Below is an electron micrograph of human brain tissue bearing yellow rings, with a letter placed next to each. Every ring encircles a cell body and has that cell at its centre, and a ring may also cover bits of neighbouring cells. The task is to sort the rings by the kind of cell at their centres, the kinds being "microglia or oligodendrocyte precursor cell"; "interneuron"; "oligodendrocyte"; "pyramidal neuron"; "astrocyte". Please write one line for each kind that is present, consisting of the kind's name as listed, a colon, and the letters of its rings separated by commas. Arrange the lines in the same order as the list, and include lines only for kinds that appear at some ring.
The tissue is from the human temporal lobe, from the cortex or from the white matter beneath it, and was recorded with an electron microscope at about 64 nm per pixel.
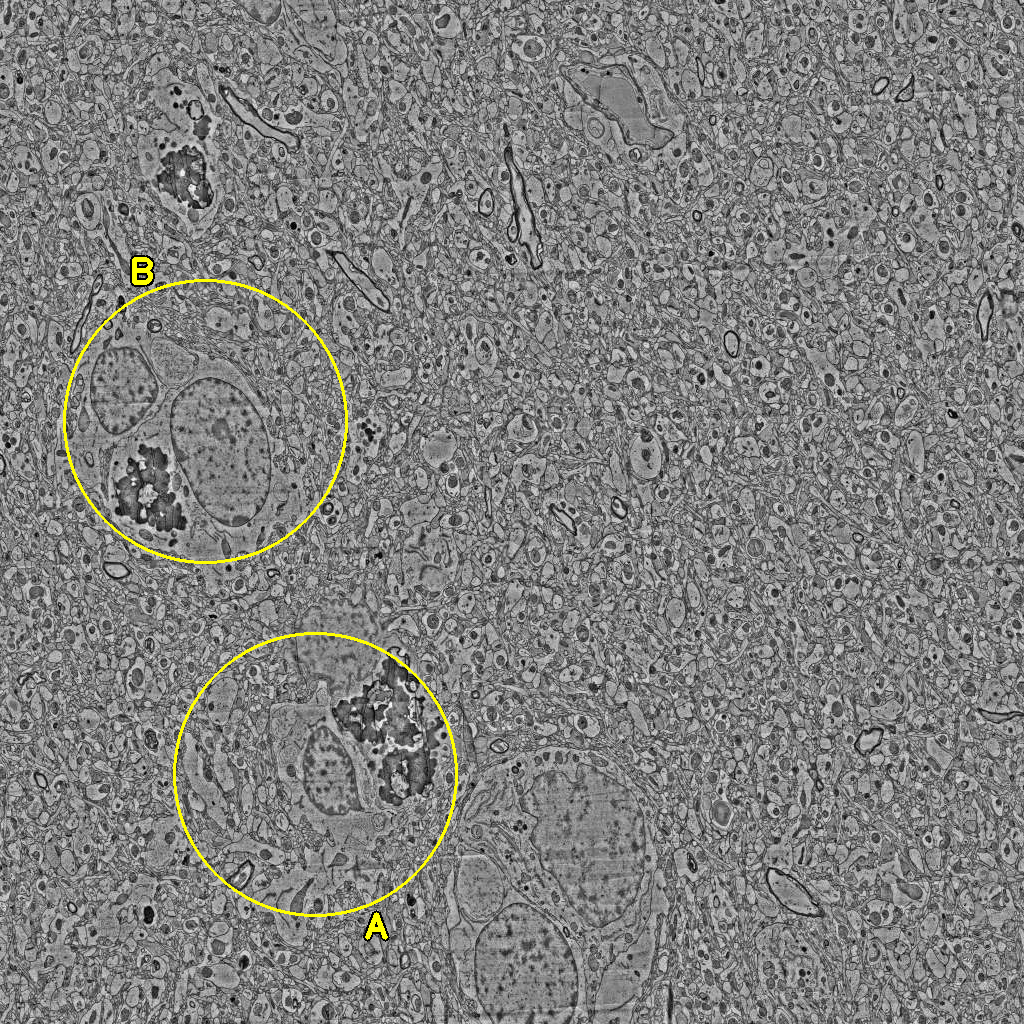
astrocyte: A, B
